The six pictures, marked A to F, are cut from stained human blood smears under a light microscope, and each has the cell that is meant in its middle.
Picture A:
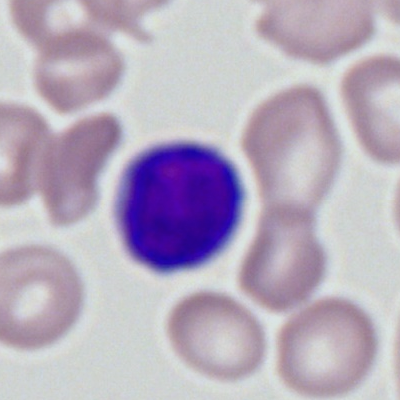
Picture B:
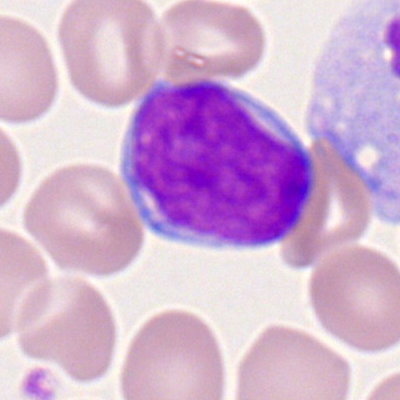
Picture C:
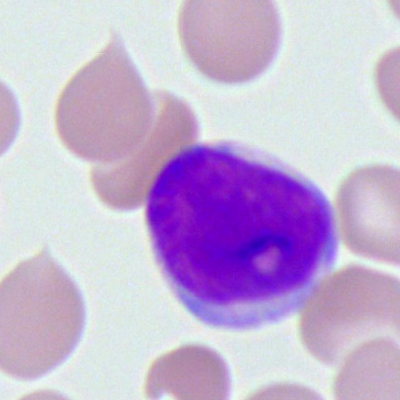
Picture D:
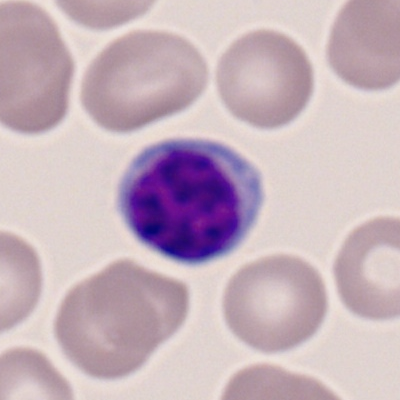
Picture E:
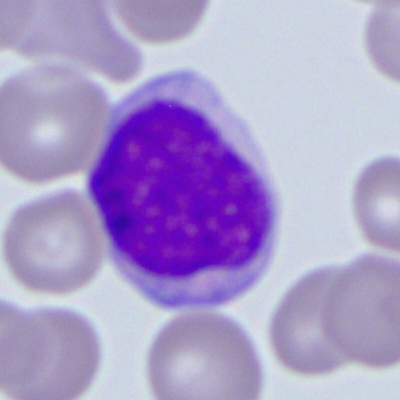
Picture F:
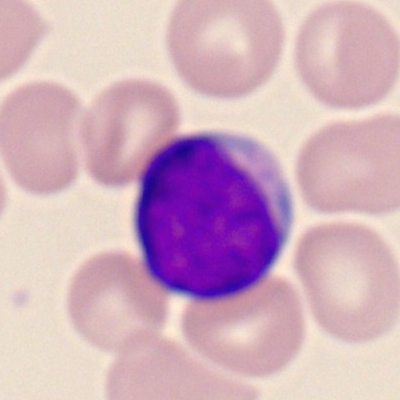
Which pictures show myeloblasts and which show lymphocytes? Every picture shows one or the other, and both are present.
A: lymphocyte
B: myeloblast
C: myeloblast
D: lymphocyte
E: myeloblast
F: myeloblast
